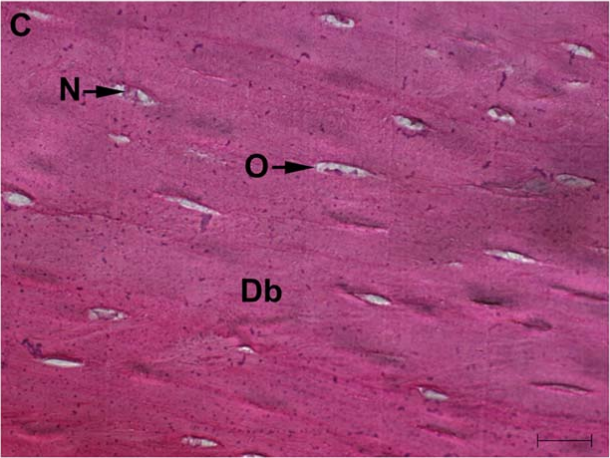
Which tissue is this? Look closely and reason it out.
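Dense pink matrix without marrow spaces. Flattened lacunae lie in parallel rows along lamellar lines.
Hence: cortical bone.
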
